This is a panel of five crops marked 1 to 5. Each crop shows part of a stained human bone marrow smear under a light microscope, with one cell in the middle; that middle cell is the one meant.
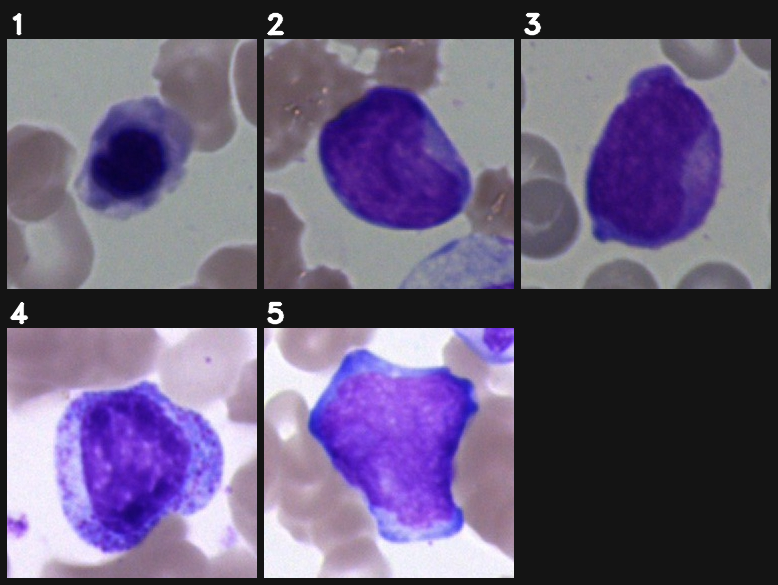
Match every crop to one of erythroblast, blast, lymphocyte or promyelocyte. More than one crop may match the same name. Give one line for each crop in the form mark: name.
1: erythroblast
2: blast
3: blast
4: promyelocyte
5: blast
